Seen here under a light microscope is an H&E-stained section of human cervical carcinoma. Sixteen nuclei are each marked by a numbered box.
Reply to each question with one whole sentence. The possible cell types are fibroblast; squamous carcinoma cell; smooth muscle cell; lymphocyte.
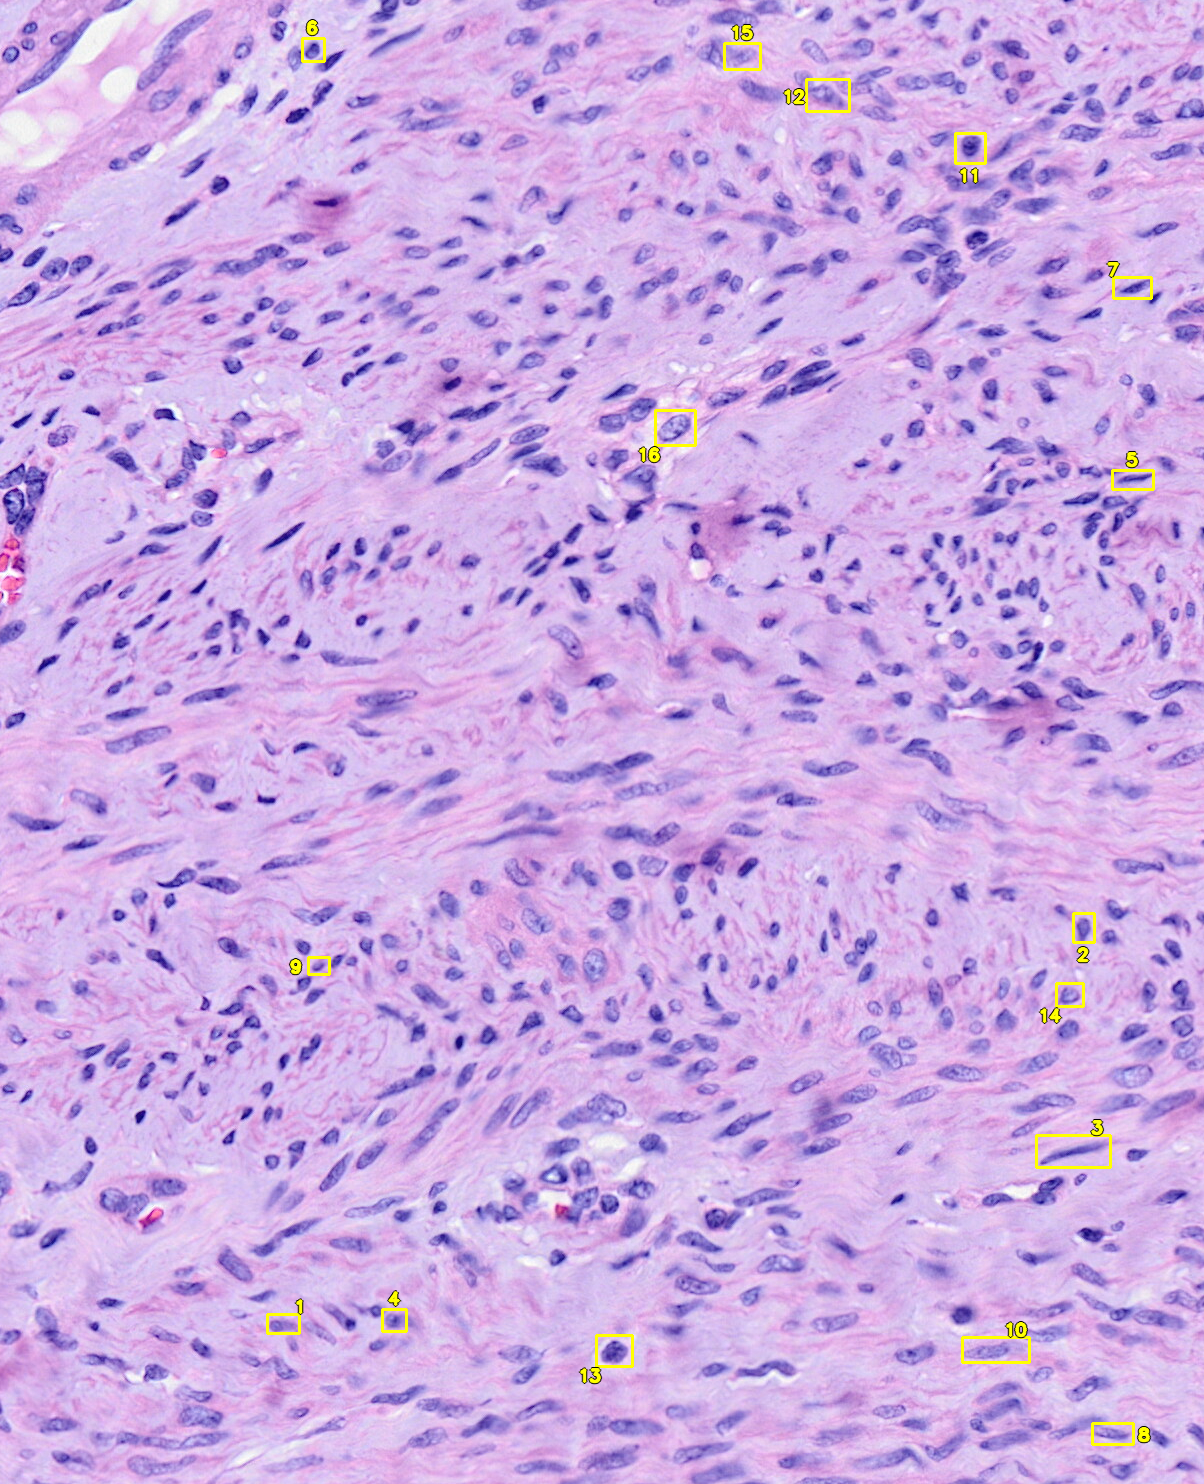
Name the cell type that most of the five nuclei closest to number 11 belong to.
Of the five nuclei nearest to number 11, most belong to smooth muscle cells.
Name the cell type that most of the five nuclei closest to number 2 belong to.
The majority of the five nuclei closest to number 2 belong to smooth muscle cells.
